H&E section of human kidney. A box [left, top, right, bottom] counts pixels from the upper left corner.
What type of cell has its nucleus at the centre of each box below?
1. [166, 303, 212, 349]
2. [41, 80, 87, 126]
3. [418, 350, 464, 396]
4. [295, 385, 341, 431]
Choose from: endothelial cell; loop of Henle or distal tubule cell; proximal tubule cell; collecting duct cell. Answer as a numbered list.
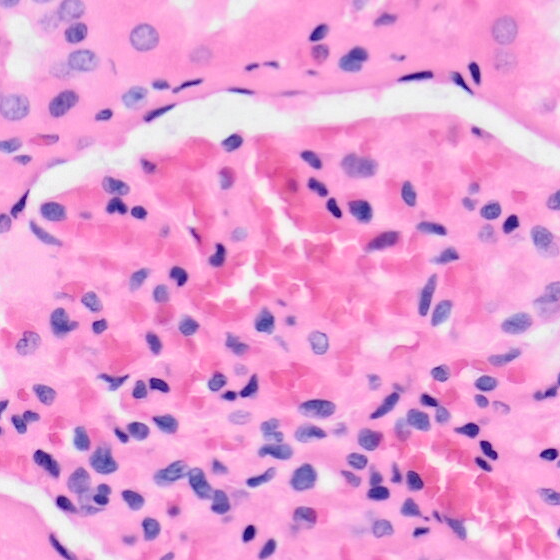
1. endothelial cell
2. collecting duct cell
3. endothelial cell
4. endothelial cell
